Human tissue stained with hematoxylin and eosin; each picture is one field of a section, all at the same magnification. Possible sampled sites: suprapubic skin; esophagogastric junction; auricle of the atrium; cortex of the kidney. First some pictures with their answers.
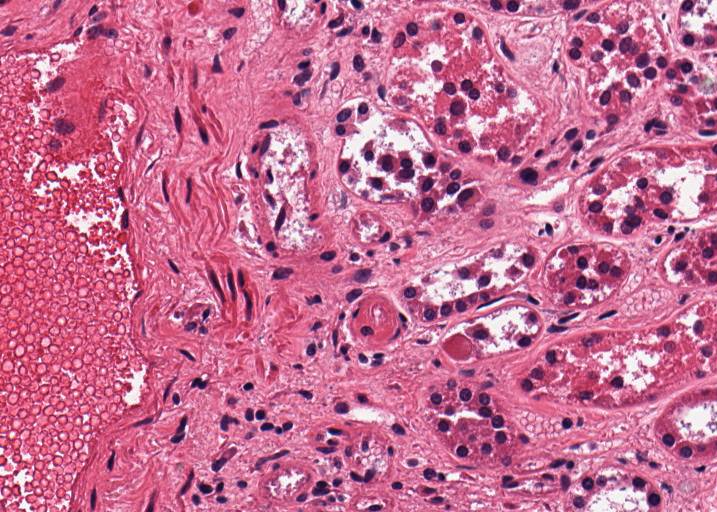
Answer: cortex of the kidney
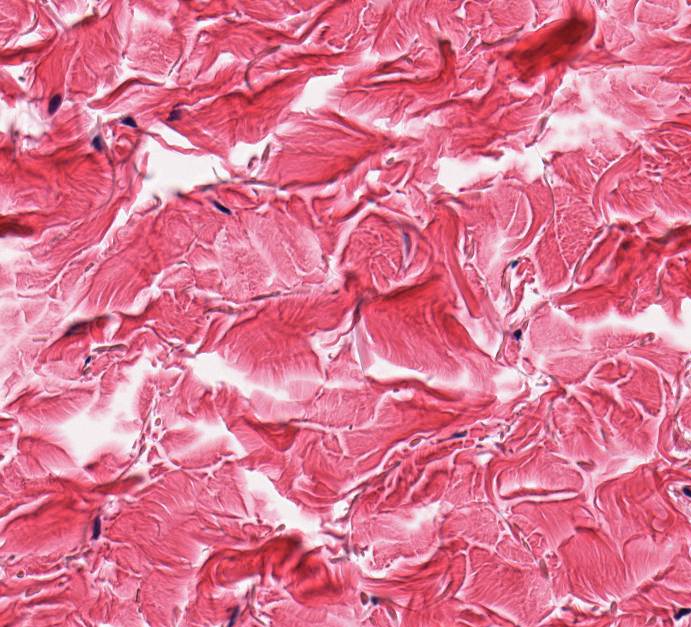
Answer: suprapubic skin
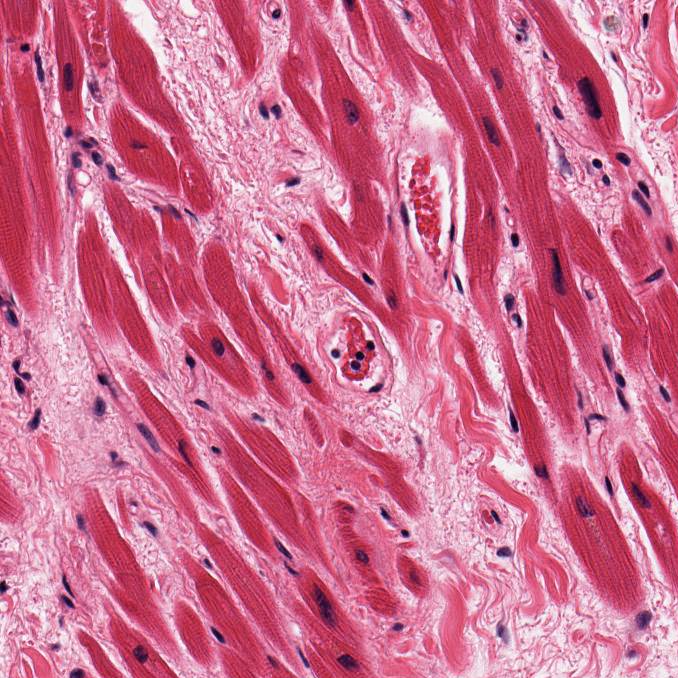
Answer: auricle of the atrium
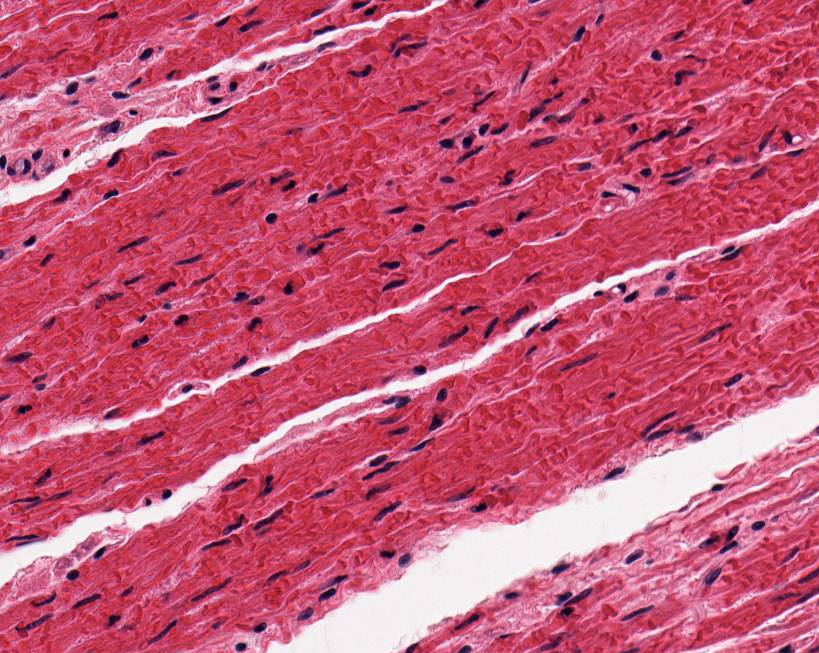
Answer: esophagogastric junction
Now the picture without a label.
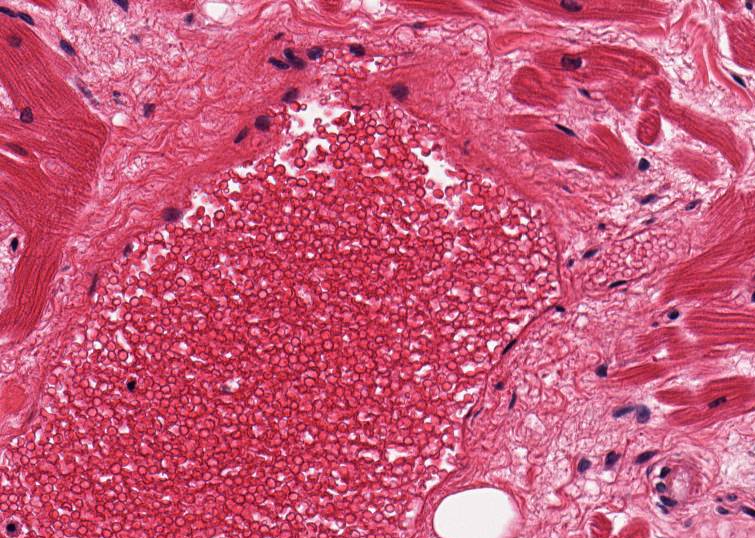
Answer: auricle of the atrium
